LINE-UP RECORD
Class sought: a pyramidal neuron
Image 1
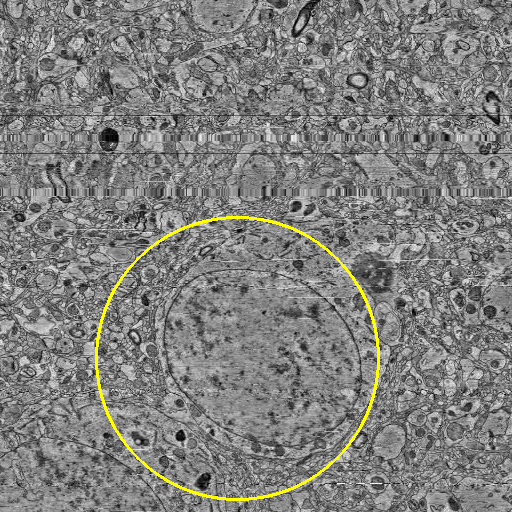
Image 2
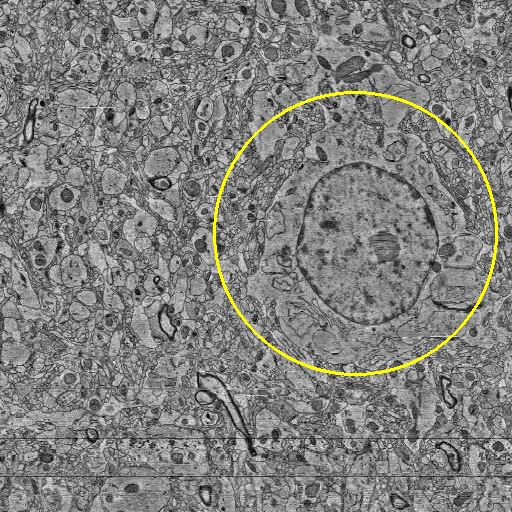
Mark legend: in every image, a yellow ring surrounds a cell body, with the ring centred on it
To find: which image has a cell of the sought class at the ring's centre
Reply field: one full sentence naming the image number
The ring-centred cell of image 1 belongs to the class sought.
